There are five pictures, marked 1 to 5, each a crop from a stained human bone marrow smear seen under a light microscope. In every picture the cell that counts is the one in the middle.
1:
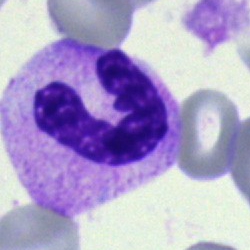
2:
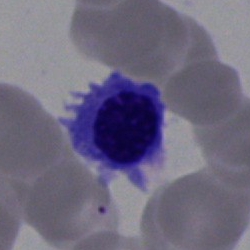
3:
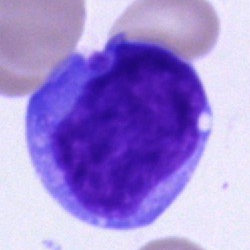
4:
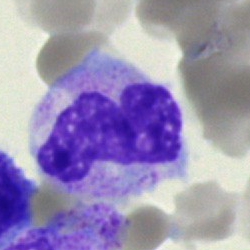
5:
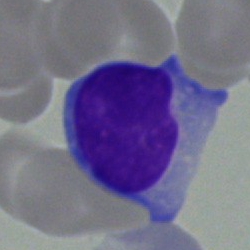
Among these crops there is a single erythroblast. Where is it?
2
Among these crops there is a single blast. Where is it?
3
